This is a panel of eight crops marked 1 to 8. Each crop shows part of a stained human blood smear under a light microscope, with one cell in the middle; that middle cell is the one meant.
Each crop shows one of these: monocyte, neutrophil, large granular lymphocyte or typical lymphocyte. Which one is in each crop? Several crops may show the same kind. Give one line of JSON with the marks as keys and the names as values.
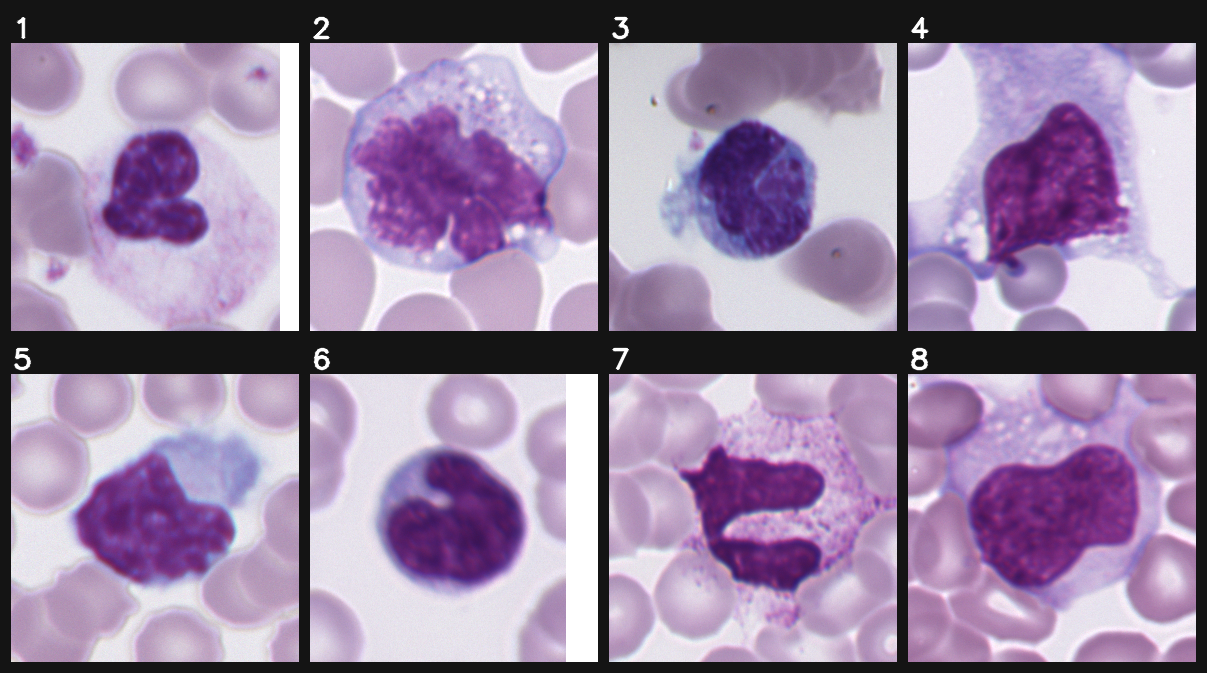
{"1": "neutrophil", "2": "monocyte", "3": "monocyte", "4": "monocyte", "5": "typical lymphocyte", "6": "typical lymphocyte", "7": "neutrophil", "8": "monocyte"}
